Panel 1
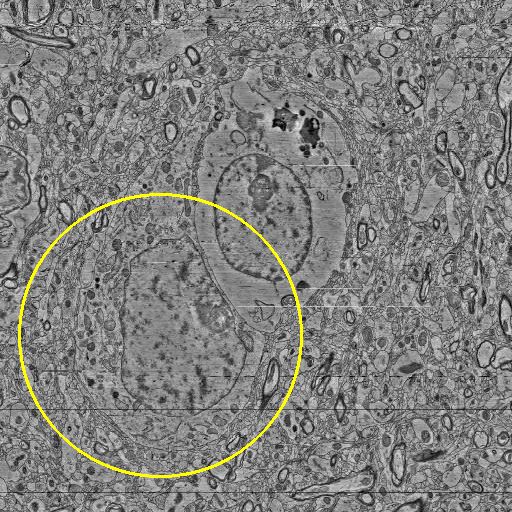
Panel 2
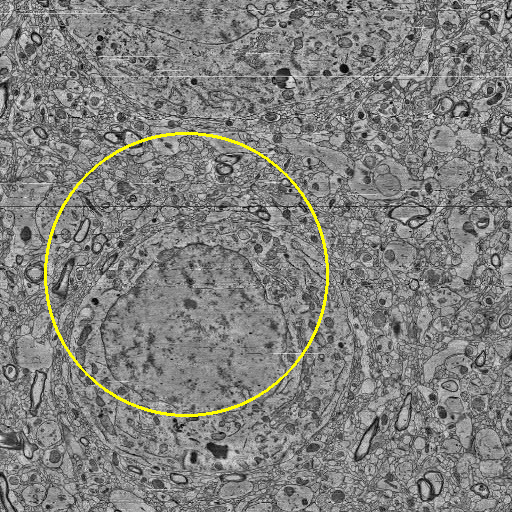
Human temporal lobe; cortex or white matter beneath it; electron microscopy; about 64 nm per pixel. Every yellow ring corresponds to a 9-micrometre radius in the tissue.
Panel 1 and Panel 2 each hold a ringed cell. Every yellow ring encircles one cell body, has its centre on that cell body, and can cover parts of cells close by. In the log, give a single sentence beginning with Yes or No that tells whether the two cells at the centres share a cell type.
Yes, in Panel 1 and Panel 2 the centred cells share a cell type.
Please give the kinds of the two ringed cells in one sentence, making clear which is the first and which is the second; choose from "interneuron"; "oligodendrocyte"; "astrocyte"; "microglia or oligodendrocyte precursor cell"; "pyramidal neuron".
Both cells are the same kind, each one being an interneuron.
